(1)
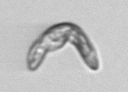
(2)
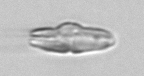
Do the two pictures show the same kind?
Yes, both are Karenia papilionacea.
